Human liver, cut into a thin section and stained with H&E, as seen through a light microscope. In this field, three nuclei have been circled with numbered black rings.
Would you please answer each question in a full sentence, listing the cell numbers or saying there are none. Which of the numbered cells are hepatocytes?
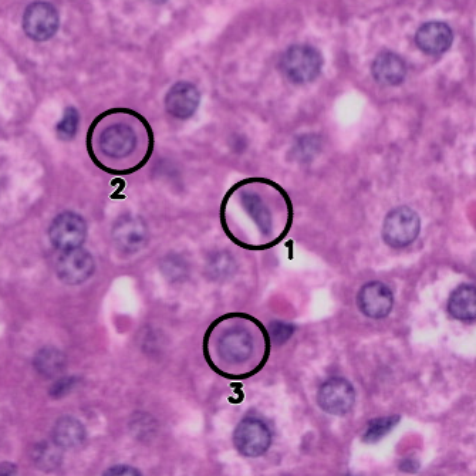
The cells carrying labels 2 and 3 are hepatocytes.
